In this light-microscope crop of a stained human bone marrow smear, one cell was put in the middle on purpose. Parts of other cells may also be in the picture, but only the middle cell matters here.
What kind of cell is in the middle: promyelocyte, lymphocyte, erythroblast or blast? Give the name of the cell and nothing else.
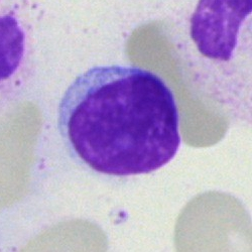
lymphocyte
